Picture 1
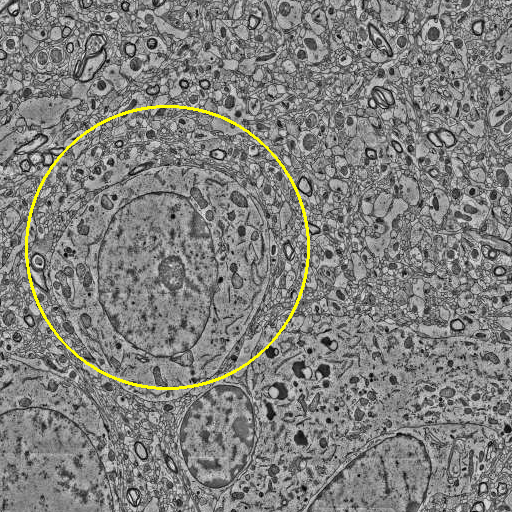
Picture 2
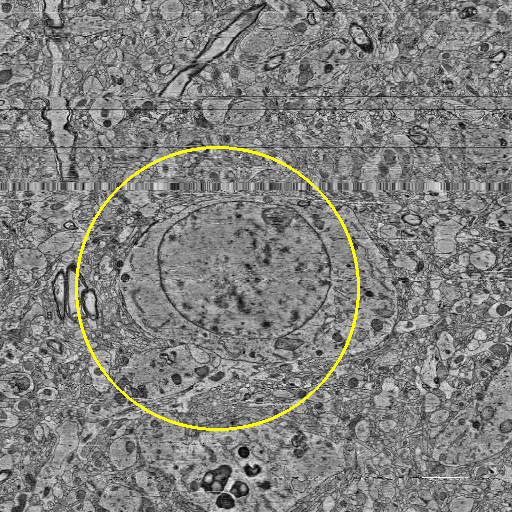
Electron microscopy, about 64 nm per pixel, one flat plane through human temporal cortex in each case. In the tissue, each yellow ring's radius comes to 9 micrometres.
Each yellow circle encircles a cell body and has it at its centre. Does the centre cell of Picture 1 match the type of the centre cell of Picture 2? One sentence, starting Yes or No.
No, the cell centred in Picture 1 and the one in Picture 2 have separate types.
